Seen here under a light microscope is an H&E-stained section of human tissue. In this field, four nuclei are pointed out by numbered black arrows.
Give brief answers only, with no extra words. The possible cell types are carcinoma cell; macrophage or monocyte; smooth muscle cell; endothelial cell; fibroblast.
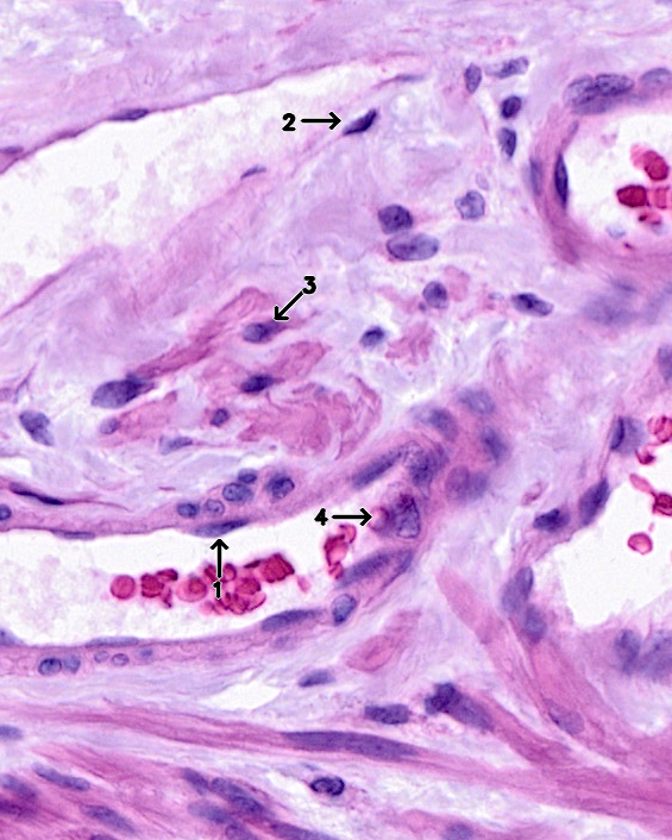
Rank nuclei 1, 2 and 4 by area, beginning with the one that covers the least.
2, 1, 4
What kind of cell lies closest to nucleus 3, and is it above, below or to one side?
a smooth muscle cell, below nucleus 3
